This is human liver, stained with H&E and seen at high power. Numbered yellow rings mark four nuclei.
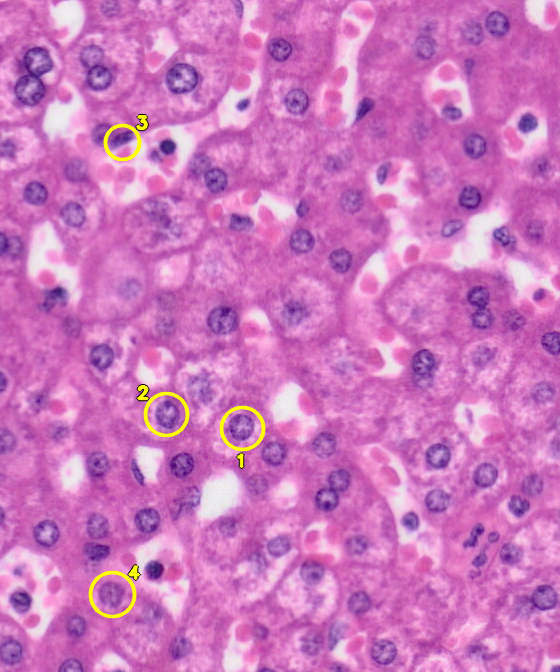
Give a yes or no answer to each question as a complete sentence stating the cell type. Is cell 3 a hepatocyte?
No, the cell that carries number 3 is a fibroblast or stellate cell, not a hepatocyte.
